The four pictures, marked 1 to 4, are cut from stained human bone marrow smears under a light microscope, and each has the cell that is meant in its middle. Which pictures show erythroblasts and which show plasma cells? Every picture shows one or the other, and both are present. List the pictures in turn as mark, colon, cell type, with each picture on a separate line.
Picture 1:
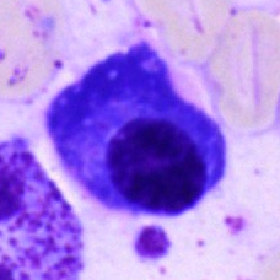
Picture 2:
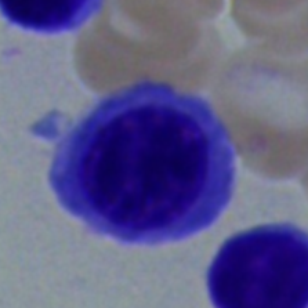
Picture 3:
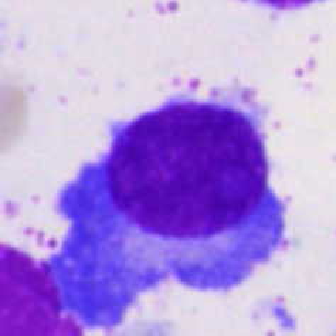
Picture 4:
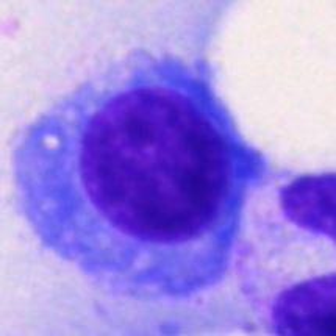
1: plasma cell
2: erythroblast
3: plasma cell
4: plasma cell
